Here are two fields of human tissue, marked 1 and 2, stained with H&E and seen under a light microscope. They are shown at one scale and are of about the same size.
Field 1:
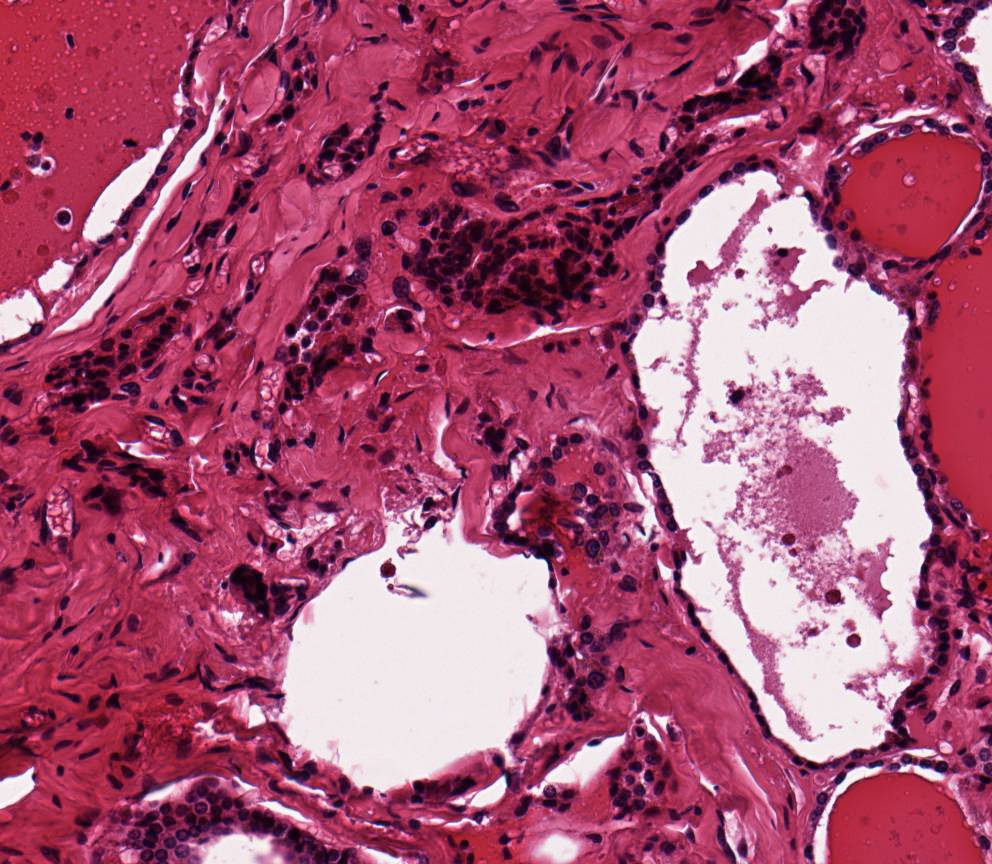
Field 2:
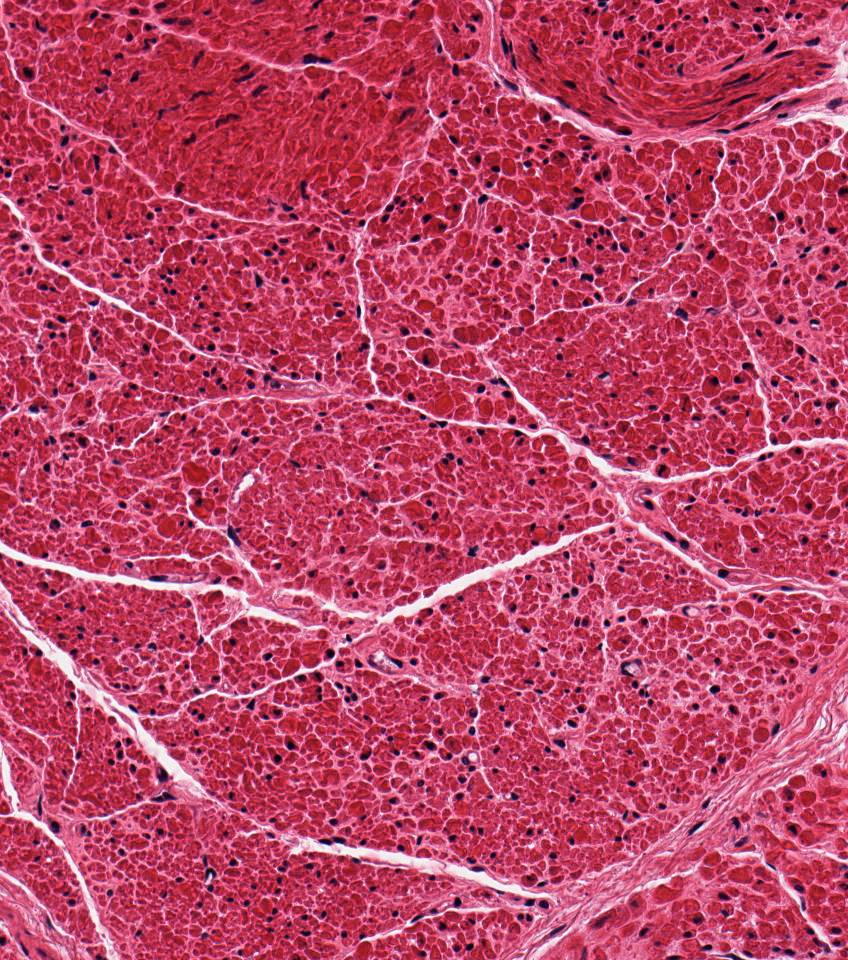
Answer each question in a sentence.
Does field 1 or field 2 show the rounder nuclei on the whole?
The nuclei are rounder in field 2.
